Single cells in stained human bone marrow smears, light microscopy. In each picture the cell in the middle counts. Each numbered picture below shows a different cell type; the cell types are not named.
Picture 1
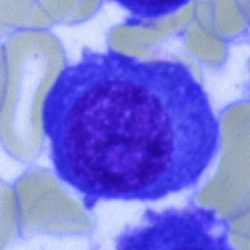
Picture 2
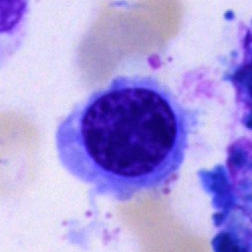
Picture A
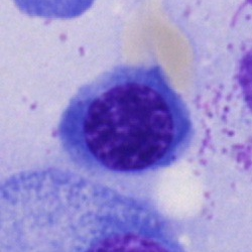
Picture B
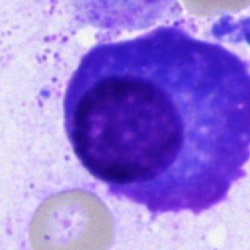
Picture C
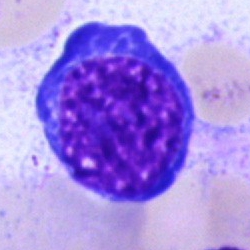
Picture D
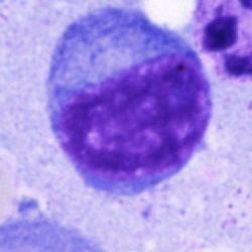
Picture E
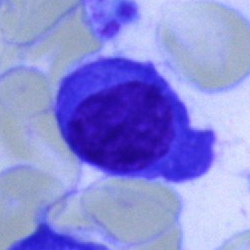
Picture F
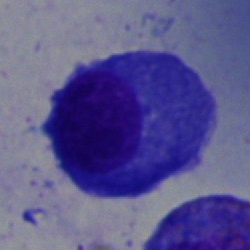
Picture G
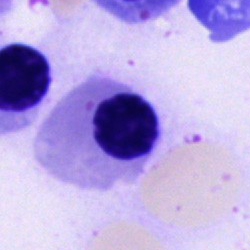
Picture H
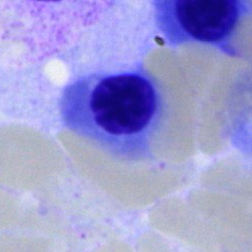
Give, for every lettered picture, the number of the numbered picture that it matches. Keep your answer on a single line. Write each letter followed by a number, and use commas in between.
A 2, B 1, C 2, D 1, E 1, F 1, G 2, H 2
